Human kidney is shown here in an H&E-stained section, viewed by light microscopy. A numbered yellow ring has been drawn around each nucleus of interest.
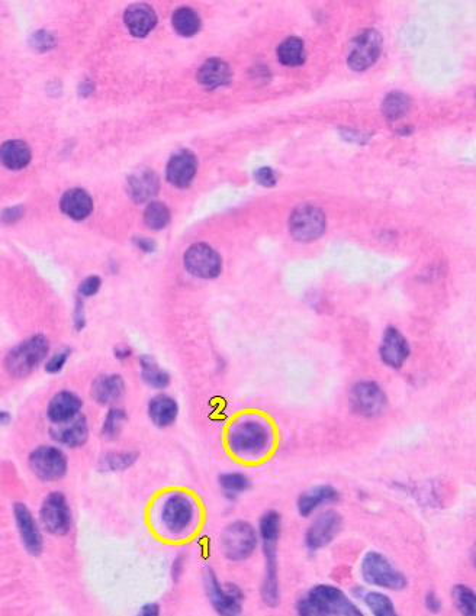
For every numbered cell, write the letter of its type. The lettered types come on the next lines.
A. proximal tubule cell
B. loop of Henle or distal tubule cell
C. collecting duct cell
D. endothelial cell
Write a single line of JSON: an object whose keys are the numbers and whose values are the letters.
{"1": "B", "2": "A"}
